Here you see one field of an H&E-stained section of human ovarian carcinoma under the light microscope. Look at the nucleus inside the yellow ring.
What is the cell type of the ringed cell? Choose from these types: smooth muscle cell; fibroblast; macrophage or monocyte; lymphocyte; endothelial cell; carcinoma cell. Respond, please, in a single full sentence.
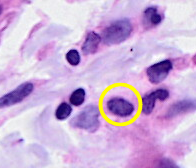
Among the cells in this section, the ringed cell is a lymphocyte.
